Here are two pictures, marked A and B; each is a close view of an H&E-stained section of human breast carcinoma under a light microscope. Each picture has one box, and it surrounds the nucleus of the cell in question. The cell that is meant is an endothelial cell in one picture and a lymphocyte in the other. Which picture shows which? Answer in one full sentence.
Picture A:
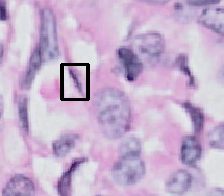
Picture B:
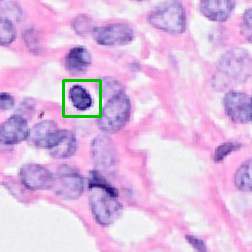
Picture A is of an endothelial cell, and picture B is of a lymphocyte.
